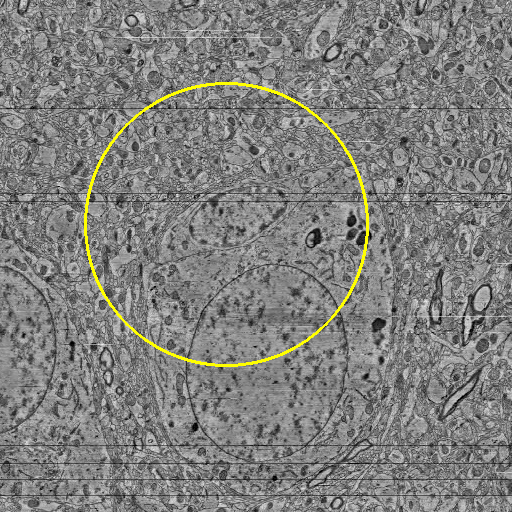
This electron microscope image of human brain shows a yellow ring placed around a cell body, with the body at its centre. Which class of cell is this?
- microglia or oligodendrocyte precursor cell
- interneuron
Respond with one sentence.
The cell body at the ring's centre is a microglial cell or oligodendrocyte precursor cell.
